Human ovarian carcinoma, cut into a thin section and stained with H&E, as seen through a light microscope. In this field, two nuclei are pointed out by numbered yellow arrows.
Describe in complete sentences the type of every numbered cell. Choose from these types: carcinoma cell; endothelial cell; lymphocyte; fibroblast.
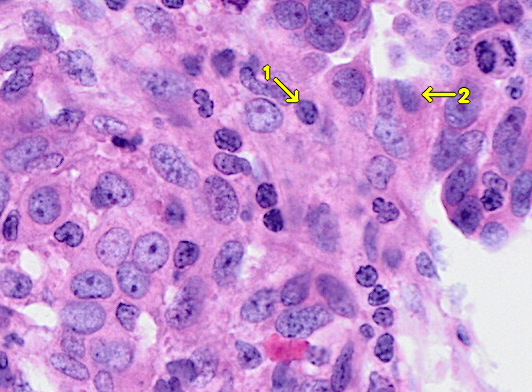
Cell 1 is a lymphocyte. Cell 2 is a carcinoma cell.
